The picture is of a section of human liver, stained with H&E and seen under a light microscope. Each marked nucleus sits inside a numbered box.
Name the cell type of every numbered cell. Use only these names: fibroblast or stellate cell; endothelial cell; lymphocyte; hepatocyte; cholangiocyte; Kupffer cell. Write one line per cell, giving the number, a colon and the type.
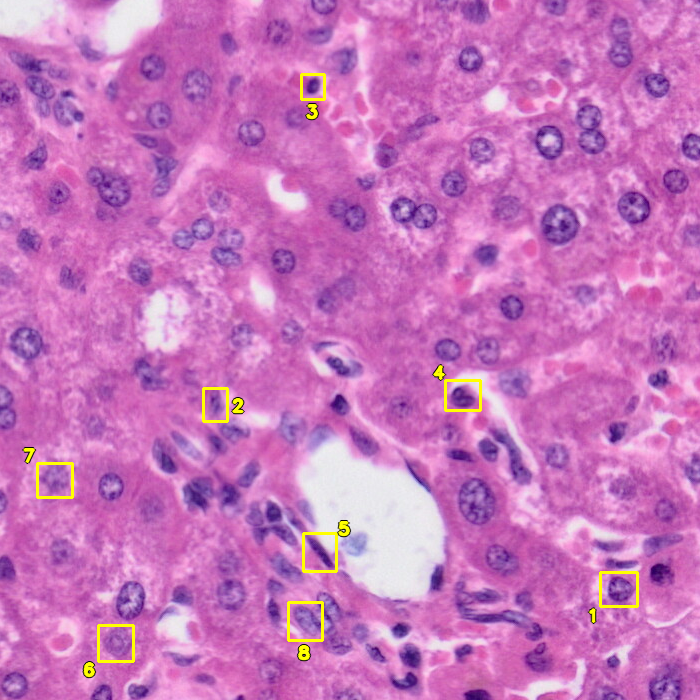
1: hepatocyte
2: fibroblast or stellate cell
3: lymphocyte
4: Kupffer cell
5: fibroblast or stellate cell
6: hepatocyte
7: hepatocyte
8: cholangiocyte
